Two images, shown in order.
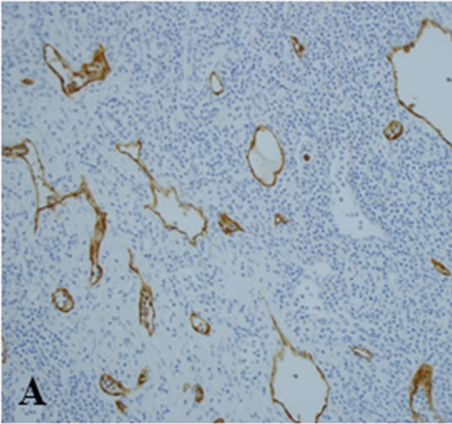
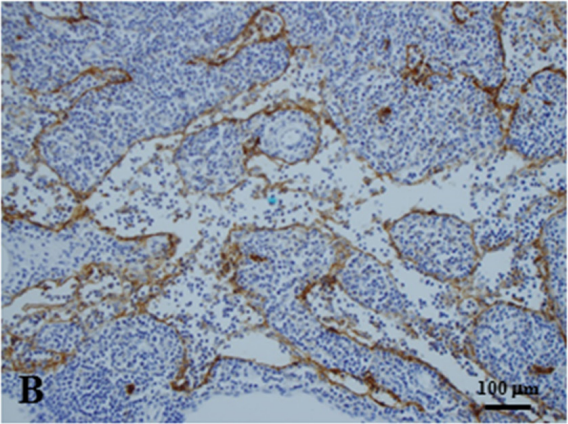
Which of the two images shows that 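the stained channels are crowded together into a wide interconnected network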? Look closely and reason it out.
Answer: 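Second image: brown-lined channels join into a large network around rounded clusters of cells. First image: brown-lined lumens lie separately, spread apart in dense lymphoid tissue. So: the second image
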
